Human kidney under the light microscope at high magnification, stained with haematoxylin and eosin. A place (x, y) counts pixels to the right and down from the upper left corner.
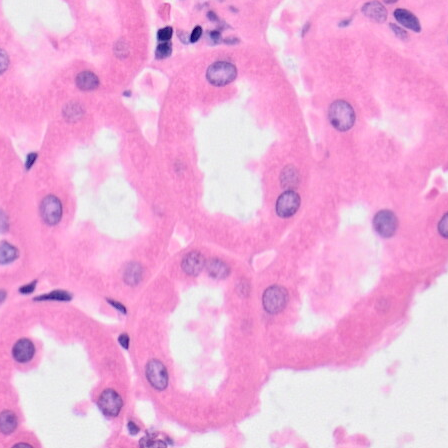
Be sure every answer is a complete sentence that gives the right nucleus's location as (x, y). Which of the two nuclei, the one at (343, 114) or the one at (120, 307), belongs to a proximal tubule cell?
The nucleus at (343, 114) is the one that belongs to a proximal tubule cell.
